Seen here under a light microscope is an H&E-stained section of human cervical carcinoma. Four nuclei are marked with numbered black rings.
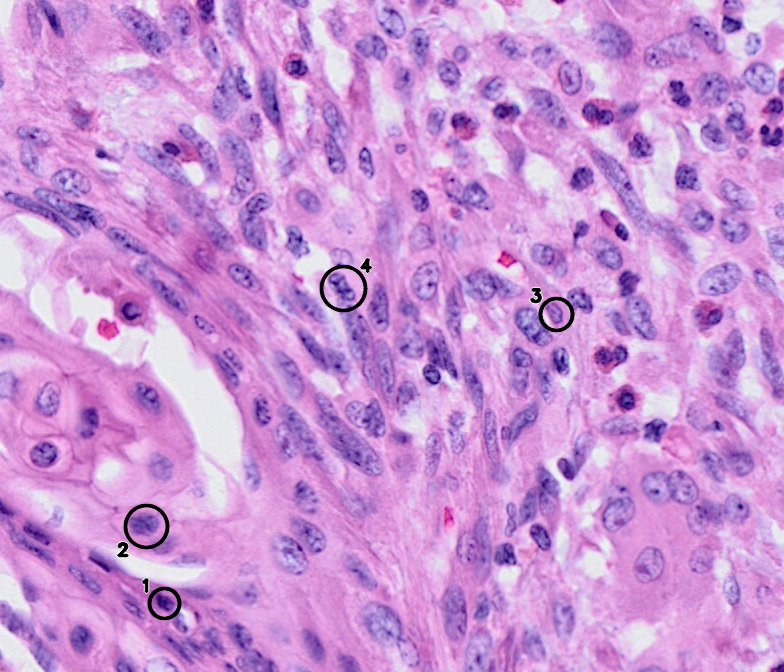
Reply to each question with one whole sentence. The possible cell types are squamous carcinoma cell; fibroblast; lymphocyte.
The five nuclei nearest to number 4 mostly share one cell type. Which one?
Fibroblasts account for more than half of the five nuclei nearest to number 4.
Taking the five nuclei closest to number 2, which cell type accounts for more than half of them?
Around number 2, most of the five nearest nuclei are those of squamous carcinoma cells.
